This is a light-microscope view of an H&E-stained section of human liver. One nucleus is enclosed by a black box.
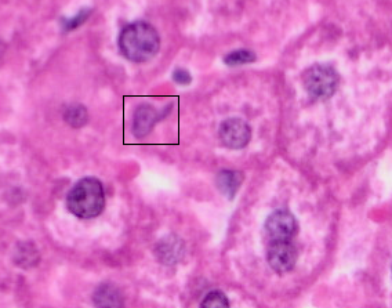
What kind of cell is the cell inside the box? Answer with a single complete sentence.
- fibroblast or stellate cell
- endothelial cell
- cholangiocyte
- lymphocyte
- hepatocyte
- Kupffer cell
In this preparation, the cell inside the box is a Kupffer cell.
